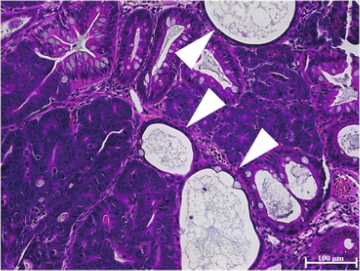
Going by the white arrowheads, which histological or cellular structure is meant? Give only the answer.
mucin-filled cysts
